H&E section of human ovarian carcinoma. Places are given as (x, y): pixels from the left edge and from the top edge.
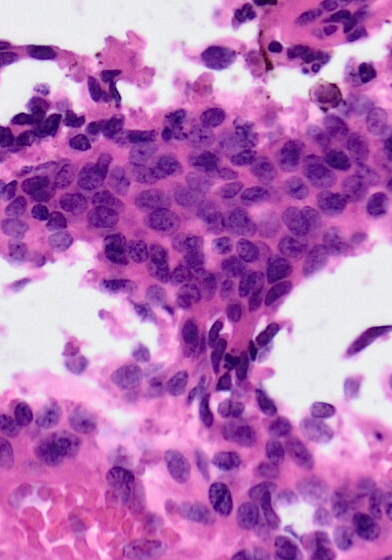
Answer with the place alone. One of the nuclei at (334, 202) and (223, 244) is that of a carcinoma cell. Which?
(334, 202)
